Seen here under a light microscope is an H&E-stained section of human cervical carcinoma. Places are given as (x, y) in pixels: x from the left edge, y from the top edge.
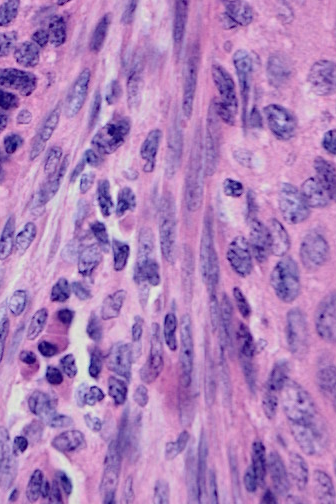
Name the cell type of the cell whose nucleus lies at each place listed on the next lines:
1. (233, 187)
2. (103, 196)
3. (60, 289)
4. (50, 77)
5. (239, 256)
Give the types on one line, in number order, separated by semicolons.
lymphocyte; lymphocyte; lymphocyte; squamous carcinoma cell; squamous carcinoma cell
